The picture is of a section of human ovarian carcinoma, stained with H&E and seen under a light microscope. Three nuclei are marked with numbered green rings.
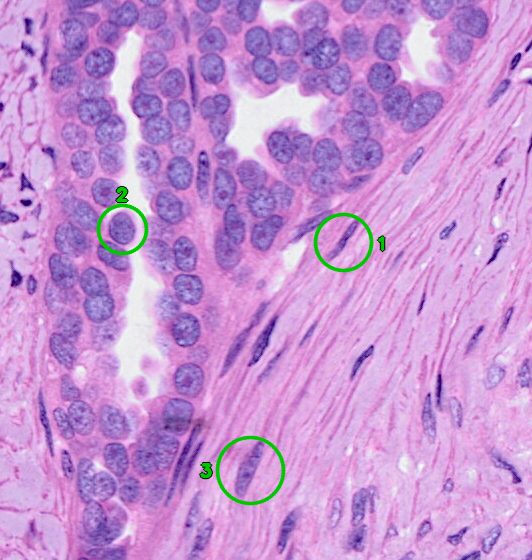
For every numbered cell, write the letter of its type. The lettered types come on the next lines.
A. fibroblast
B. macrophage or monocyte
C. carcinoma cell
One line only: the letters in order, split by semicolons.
A; C; A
